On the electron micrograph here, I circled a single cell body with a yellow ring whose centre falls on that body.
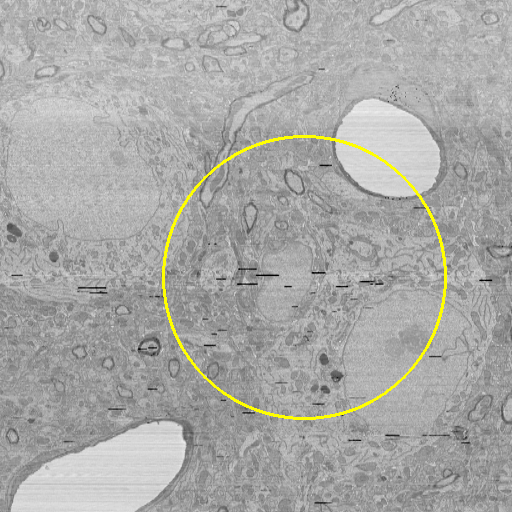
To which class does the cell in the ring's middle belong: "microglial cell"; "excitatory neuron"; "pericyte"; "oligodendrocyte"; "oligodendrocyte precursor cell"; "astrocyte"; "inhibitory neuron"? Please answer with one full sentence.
In this picture, the cell body circled at the ring's centre belongs to an oligodendrocyte precursor cell.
